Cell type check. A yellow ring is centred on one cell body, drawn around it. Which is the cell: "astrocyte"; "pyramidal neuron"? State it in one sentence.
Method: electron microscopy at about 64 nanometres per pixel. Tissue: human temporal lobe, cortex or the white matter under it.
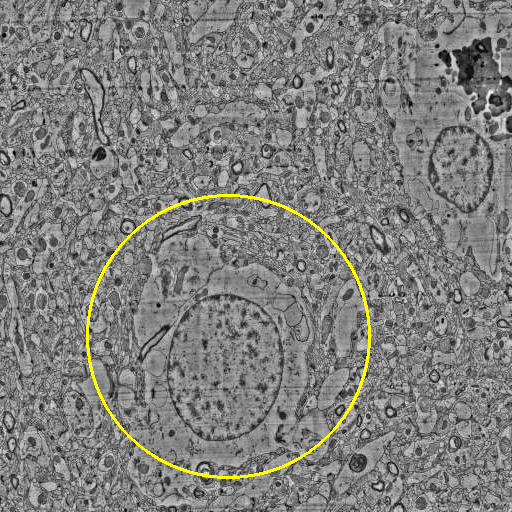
The cell body at the ring's centre belongs to an astrocyte.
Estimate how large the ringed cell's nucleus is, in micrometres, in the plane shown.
In this plane, the nucleus is roughly 9 by 7 micrometres.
